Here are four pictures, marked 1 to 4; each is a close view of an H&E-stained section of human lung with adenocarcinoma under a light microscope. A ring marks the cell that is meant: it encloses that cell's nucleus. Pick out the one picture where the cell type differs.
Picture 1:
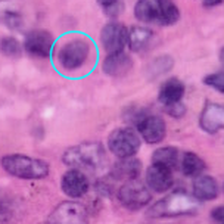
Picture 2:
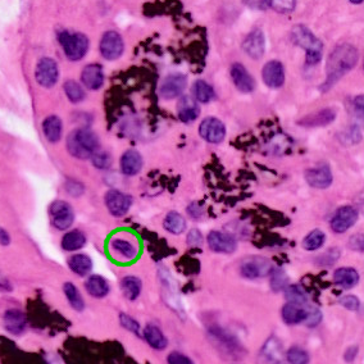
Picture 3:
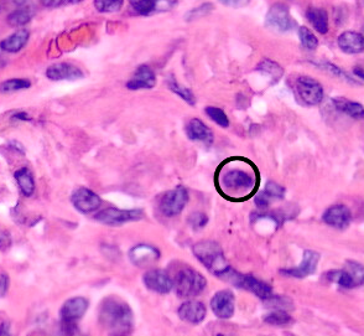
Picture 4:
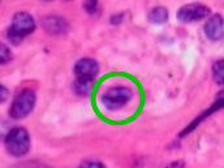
3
